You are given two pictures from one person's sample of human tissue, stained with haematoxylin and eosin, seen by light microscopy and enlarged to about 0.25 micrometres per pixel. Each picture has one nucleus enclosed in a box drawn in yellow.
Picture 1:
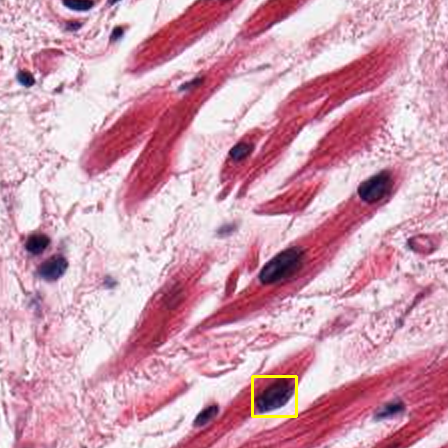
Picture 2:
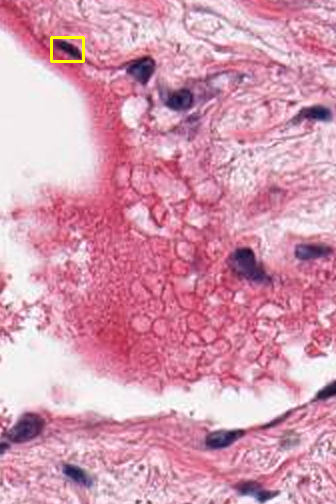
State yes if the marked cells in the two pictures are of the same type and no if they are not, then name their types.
No, the first is a cardiomyocyte and the second an endothelial cell.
